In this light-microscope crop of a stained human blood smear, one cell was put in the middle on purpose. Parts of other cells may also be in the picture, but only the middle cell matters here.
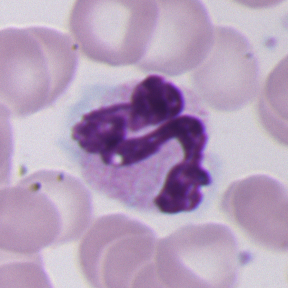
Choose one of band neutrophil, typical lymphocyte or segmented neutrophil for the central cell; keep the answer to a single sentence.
Here the centrally located cell is a segmented neutrophil.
